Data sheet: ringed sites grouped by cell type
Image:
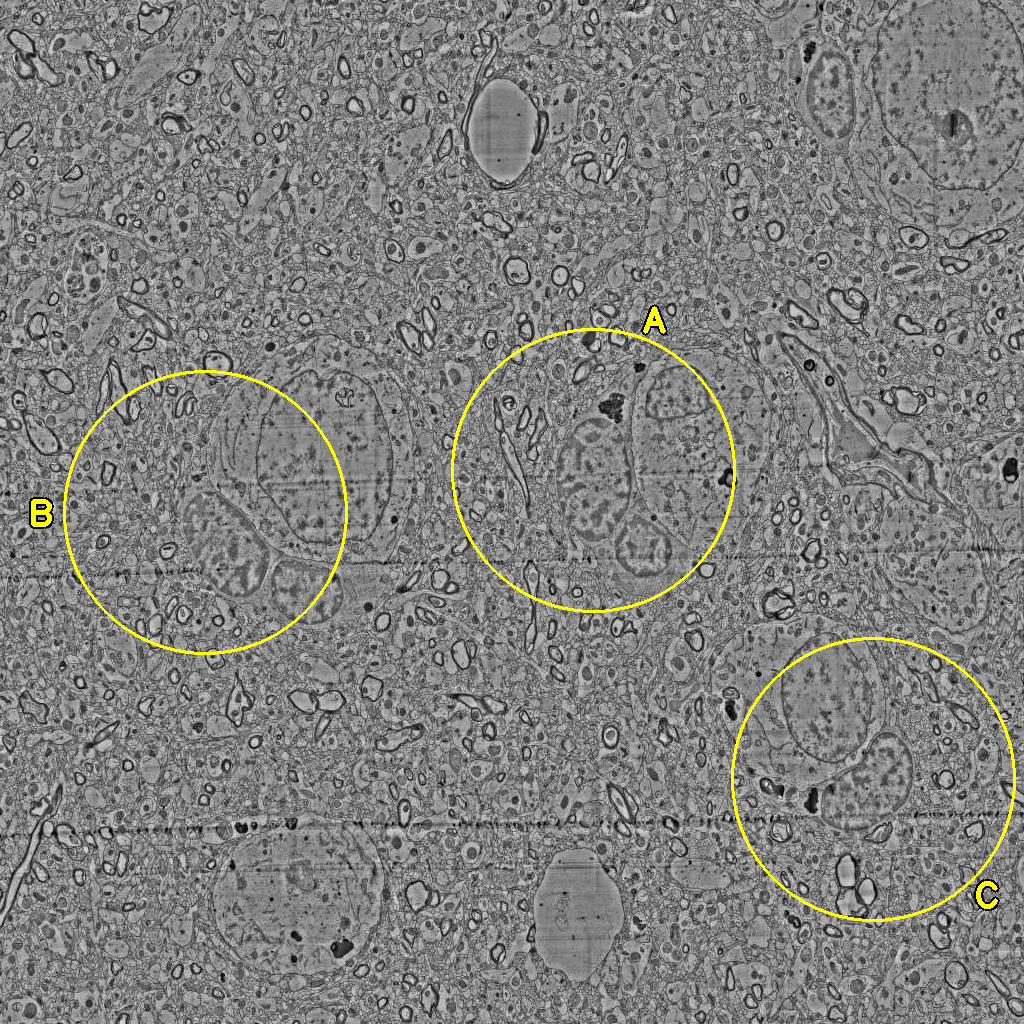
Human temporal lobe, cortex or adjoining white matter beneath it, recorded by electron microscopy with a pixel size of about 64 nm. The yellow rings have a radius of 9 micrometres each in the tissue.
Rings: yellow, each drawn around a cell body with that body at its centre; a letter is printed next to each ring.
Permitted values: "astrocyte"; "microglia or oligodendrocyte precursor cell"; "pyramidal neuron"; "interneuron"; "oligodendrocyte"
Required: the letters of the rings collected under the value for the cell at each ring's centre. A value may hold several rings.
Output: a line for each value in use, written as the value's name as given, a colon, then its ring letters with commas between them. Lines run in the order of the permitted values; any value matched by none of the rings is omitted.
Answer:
oligodendrocyte: A, B, C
